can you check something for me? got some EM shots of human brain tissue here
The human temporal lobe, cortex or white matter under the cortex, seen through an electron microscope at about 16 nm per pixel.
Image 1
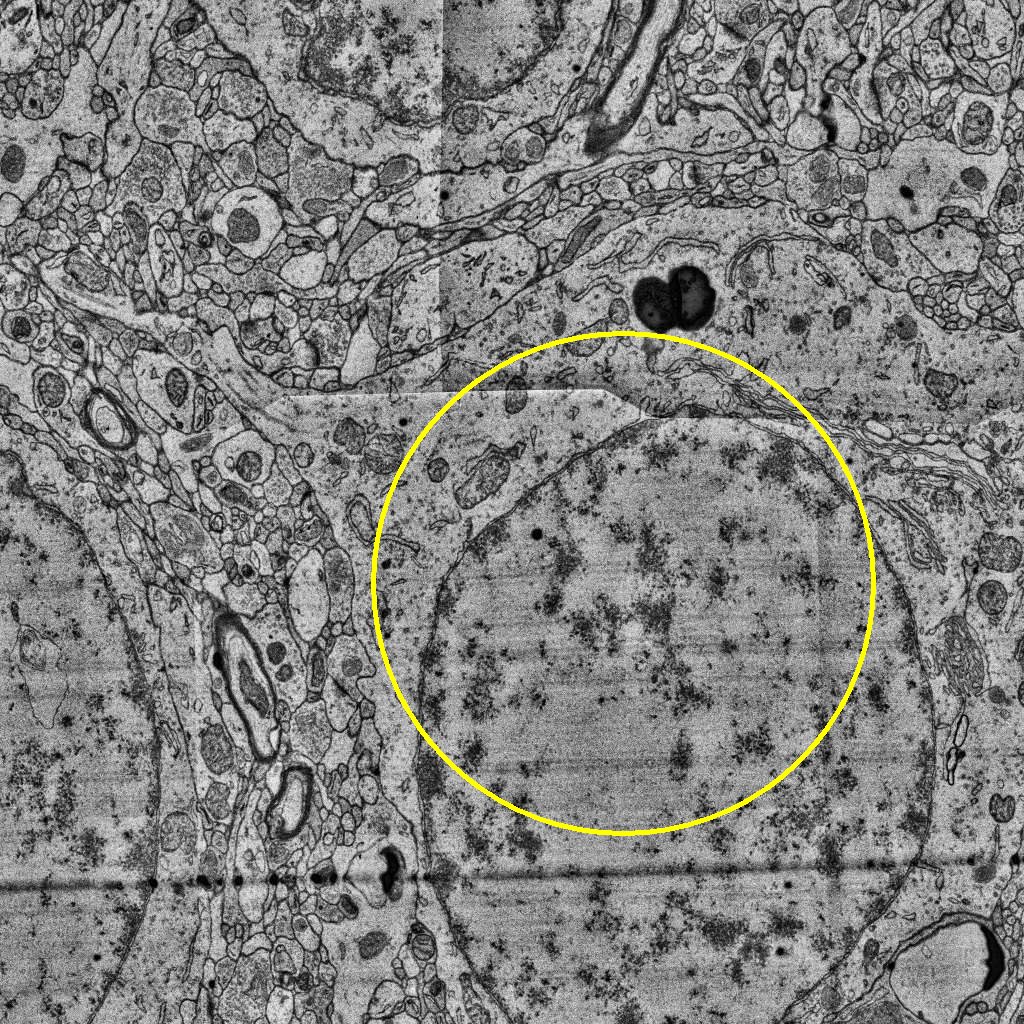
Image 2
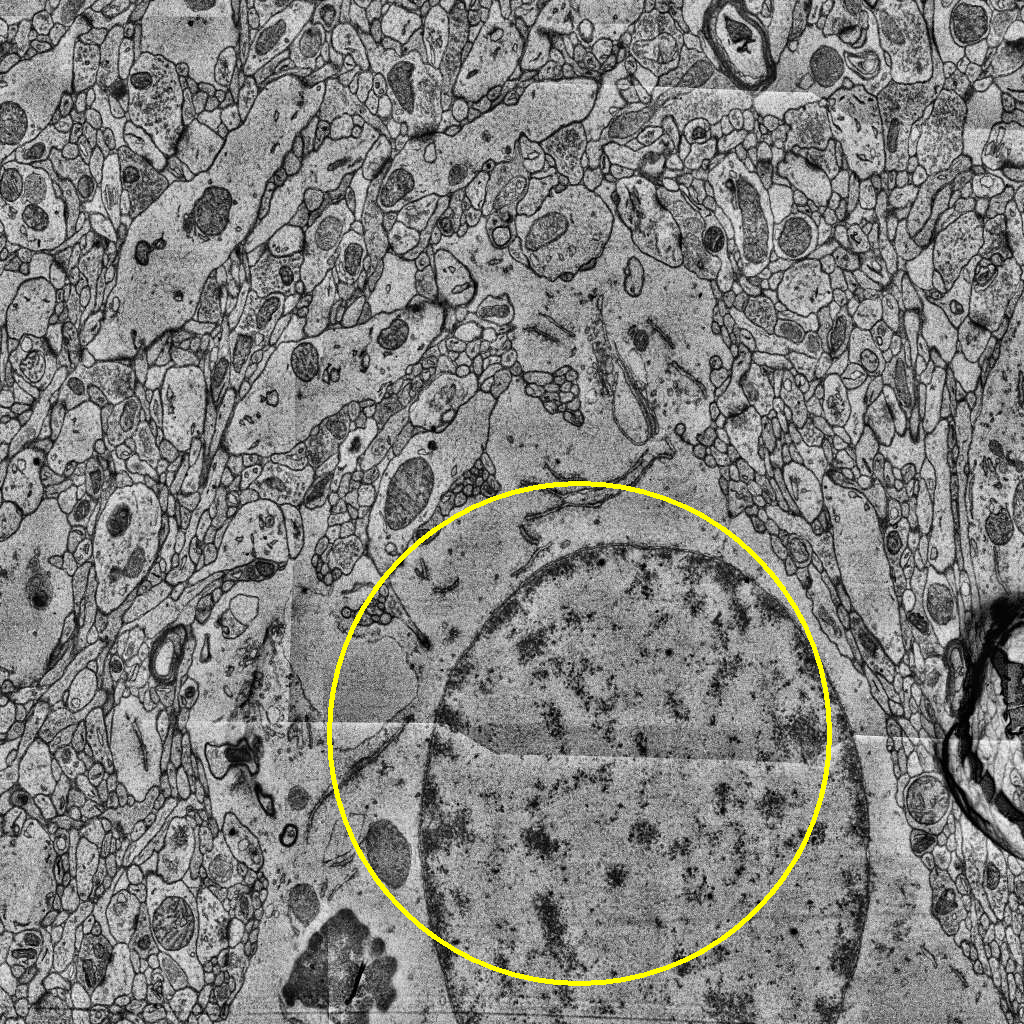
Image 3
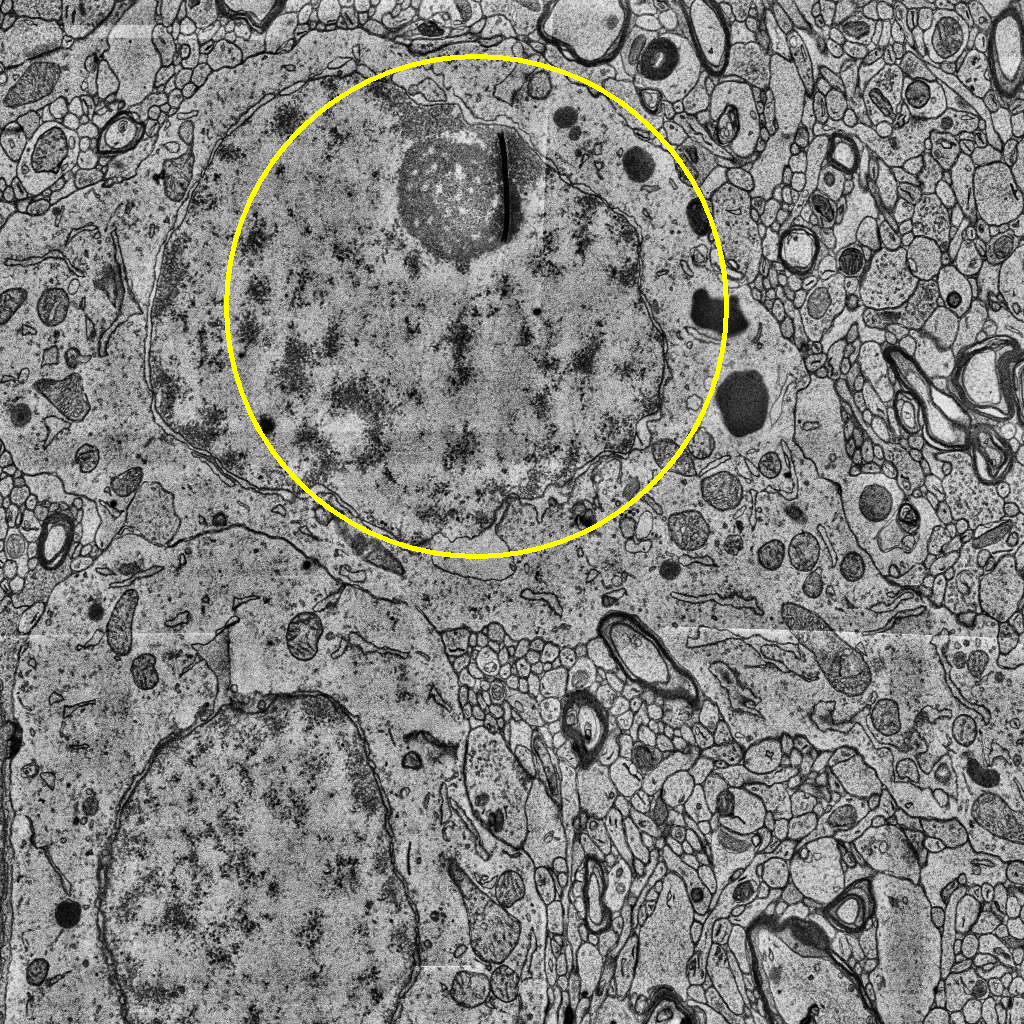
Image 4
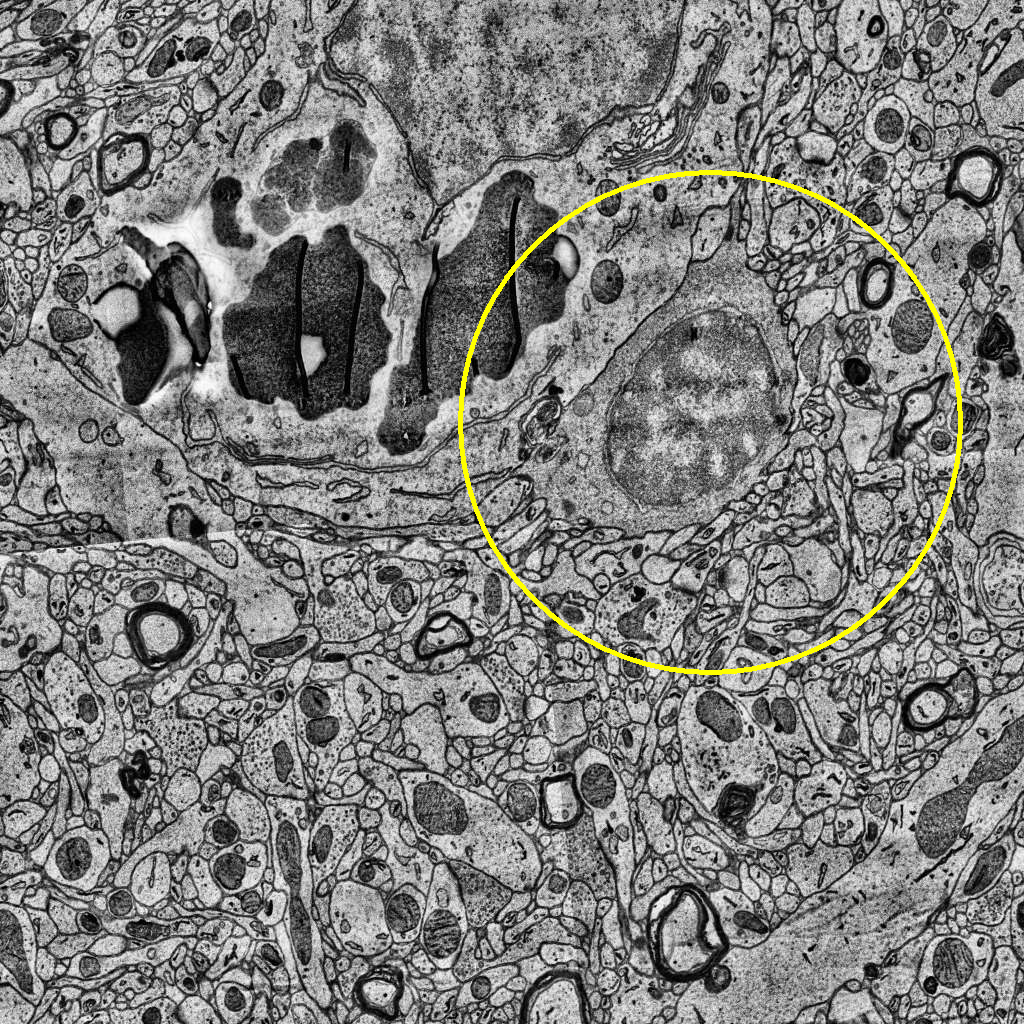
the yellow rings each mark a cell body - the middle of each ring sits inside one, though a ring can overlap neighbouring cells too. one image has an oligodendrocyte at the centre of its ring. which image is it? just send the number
4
